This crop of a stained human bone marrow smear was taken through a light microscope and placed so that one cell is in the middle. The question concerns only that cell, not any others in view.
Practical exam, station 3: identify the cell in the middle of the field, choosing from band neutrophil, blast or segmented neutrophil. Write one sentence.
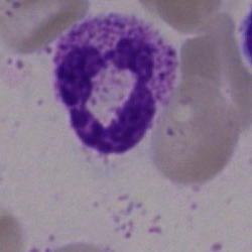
Located at the centre of the crop is a segmented neutrophil.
